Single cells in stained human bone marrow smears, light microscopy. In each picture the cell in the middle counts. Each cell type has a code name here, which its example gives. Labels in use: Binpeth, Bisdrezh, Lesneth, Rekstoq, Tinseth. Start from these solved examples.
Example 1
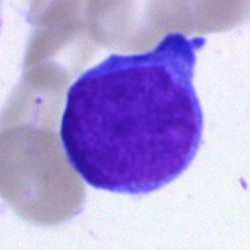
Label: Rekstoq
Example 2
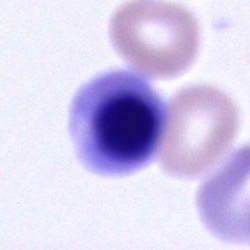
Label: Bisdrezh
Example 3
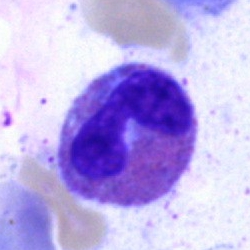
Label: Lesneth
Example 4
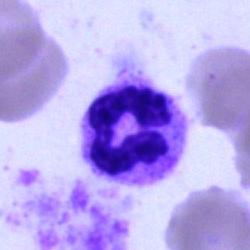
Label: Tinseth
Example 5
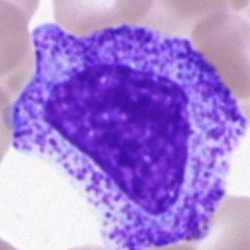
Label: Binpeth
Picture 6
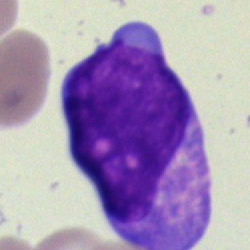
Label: Rekstoq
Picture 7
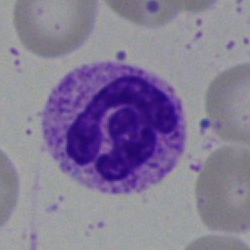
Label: Tinseth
